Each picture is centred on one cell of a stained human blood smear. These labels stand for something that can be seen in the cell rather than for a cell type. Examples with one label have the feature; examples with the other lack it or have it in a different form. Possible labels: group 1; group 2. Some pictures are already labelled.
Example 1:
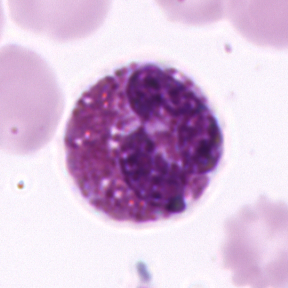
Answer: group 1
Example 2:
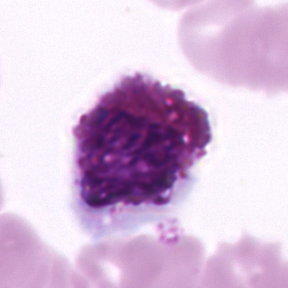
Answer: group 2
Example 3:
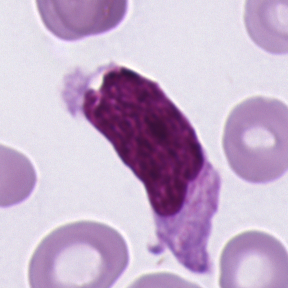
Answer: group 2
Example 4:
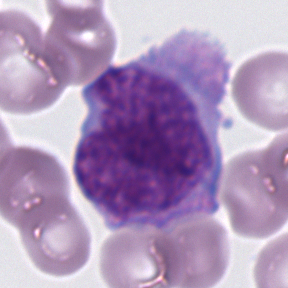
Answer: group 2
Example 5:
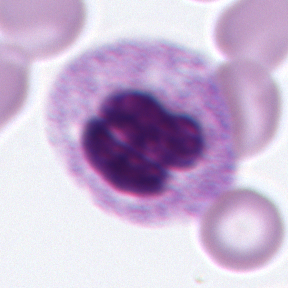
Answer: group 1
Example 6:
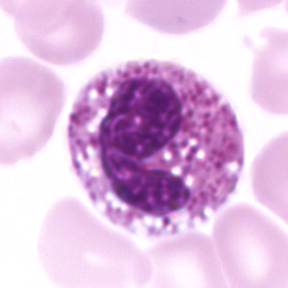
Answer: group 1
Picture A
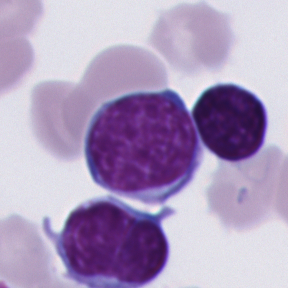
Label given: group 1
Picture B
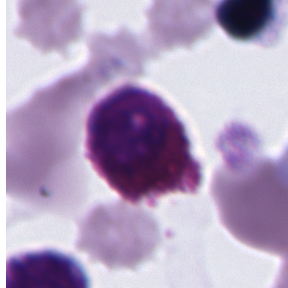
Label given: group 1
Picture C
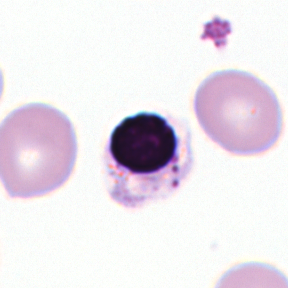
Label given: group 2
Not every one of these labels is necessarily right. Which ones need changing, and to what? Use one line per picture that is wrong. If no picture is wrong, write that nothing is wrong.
B: not group 1 but group 2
